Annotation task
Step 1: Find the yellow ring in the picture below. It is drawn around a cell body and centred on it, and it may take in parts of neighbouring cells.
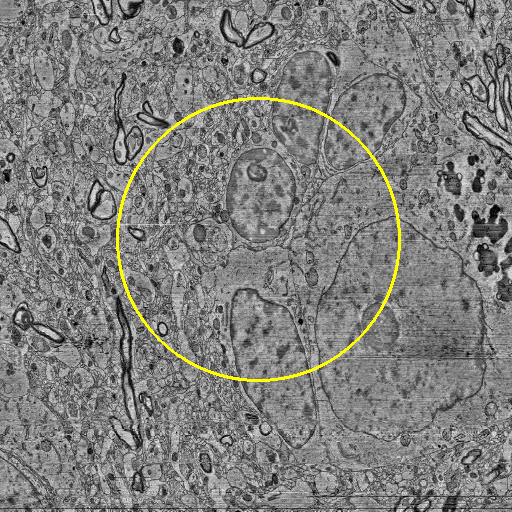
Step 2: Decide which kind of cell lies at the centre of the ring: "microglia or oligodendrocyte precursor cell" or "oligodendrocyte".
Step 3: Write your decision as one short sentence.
The kind of cell at the ring's centre is an oligodendrocyte.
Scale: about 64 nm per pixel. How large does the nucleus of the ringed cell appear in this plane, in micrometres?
The nucleus has a long axis of about 6 micrometres and a short axis of about 4 micrometres in this plane.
